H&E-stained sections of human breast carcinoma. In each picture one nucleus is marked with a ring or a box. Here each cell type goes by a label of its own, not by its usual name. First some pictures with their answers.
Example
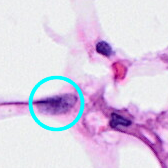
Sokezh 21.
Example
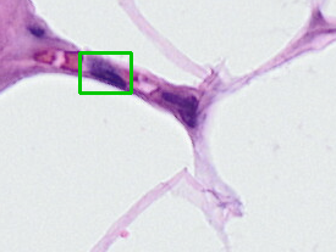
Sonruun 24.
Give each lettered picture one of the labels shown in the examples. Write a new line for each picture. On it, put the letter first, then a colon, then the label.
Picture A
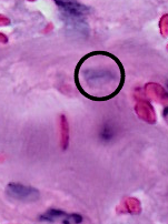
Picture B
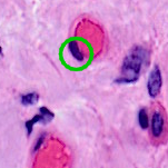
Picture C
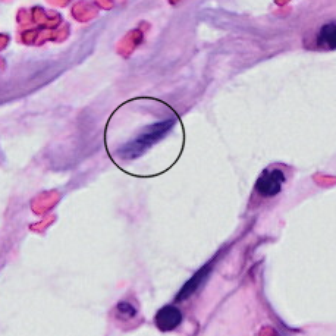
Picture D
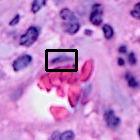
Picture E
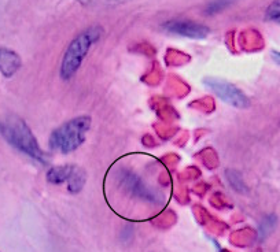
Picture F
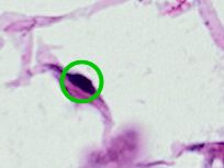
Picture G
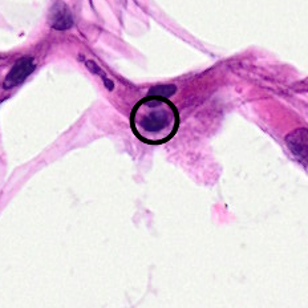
A: Sokezh 21.
B: Sonruun 24.
C: Sokezh 21.
D: Sonruun 24.
E: Sonruun 24.
F: Sonruun 24.
G: Sonruun 24.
